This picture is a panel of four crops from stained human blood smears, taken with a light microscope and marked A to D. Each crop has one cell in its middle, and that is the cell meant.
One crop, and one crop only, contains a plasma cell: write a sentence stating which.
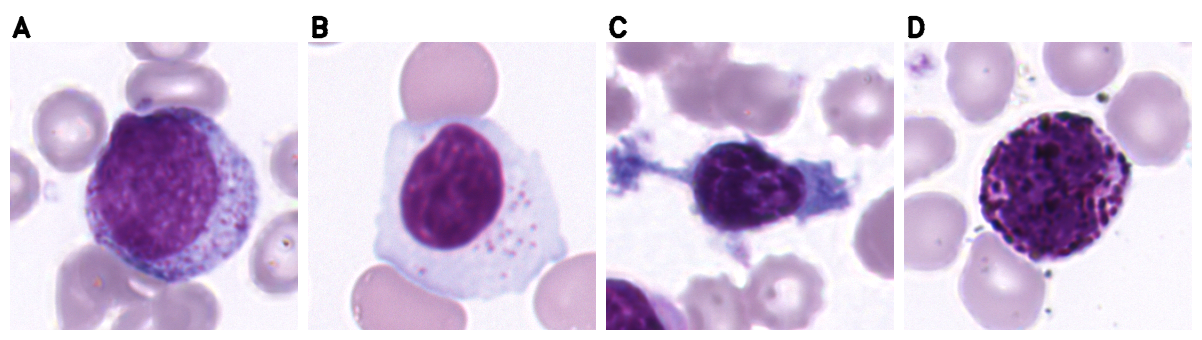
The crop marked C is the one that shows a plasma cell.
